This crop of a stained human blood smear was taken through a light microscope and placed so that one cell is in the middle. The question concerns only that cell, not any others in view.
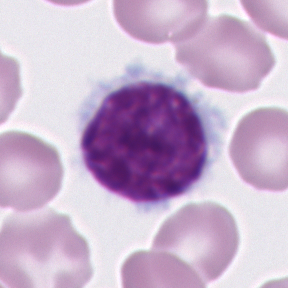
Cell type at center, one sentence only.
What the crop centres on is a hairy cell.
